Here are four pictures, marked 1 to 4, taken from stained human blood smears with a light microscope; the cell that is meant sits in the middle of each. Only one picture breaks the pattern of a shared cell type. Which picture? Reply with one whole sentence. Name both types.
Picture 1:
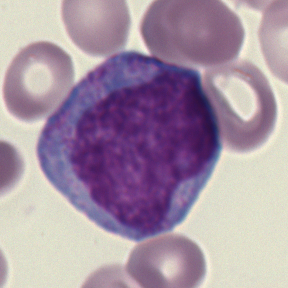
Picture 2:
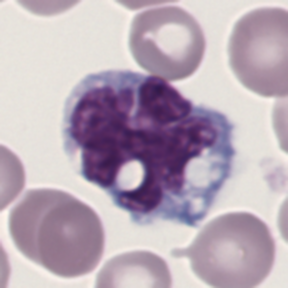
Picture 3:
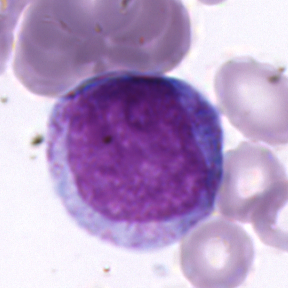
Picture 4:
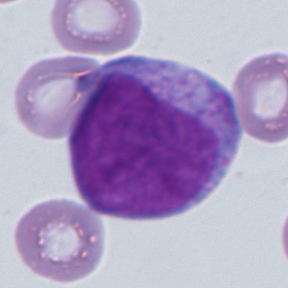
The others show promyelocytes, but picture 2 shows a monocyte.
